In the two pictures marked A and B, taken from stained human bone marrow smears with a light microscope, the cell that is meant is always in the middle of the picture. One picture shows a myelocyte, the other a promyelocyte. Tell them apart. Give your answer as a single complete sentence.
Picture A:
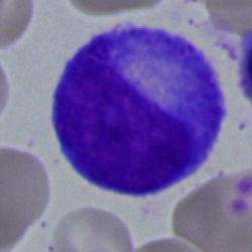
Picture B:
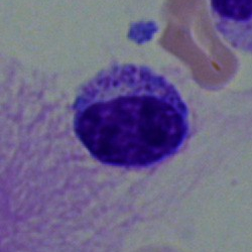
It is picture A that shows a promyelocyte, and picture B that shows a myelocyte.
